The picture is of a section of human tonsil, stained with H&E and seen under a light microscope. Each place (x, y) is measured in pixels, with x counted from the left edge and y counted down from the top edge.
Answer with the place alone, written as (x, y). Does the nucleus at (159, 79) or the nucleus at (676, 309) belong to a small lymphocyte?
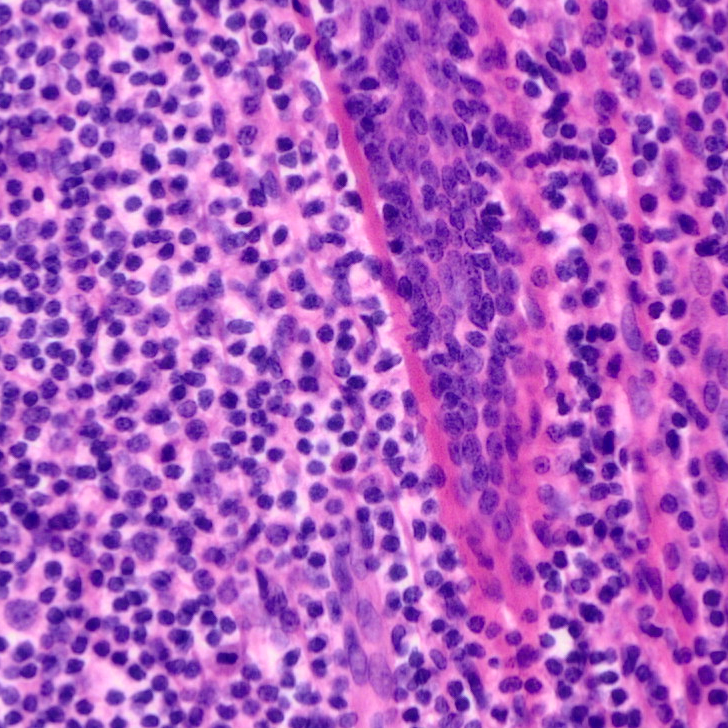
(159, 79)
